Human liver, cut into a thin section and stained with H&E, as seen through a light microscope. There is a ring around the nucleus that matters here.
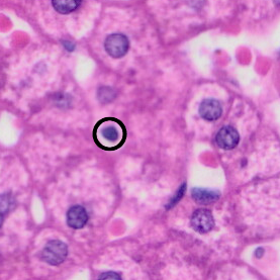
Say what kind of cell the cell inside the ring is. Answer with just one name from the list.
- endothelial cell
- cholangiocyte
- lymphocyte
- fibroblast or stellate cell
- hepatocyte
lymphocyte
